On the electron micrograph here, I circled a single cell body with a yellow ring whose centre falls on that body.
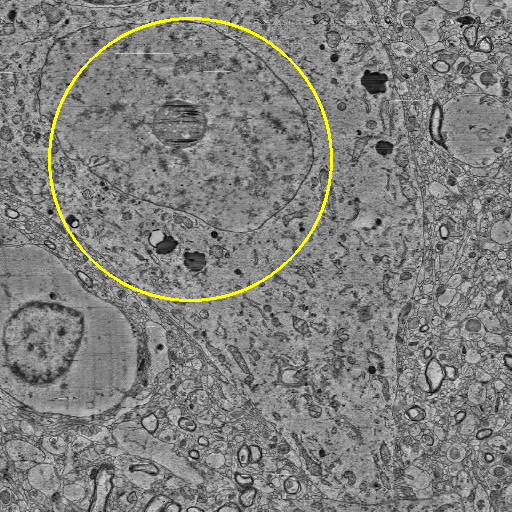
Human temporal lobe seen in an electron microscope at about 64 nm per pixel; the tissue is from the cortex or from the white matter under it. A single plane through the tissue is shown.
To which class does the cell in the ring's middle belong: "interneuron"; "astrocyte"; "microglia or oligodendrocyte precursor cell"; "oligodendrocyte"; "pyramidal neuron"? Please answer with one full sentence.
In this picture, the cell body circled at the ring's centre belongs to a pyramidal neuron.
